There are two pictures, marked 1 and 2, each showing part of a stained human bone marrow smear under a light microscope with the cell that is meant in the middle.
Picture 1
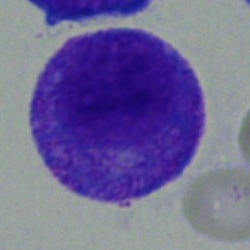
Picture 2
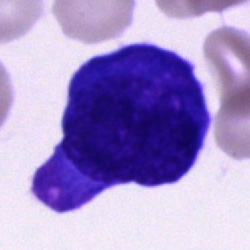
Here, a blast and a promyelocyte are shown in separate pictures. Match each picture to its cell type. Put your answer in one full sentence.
The cell in picture 1 is a promyelocyte, and the one in picture 2 is a blast.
